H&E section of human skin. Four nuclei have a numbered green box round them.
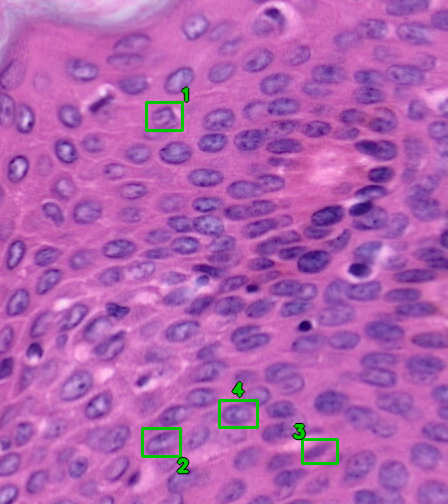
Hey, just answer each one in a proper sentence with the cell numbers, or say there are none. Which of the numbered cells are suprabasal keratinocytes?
In this section, the cells labelled 1, 2 and 4 are suprabasal keratinocytes.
